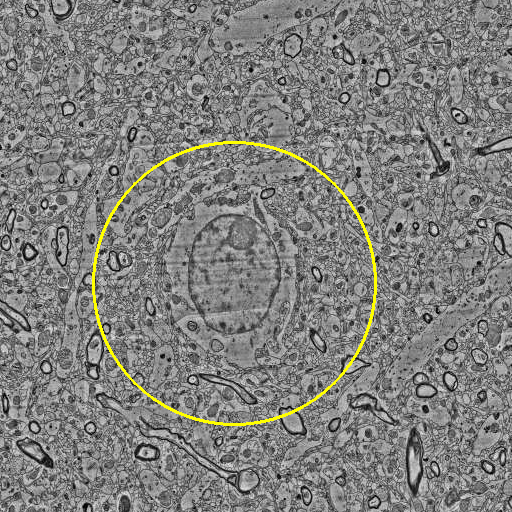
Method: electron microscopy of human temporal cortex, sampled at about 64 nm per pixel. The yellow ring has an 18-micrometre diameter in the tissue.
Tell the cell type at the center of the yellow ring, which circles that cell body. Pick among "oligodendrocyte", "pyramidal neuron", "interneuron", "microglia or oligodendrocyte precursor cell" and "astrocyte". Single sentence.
The ring is centered on the body of an astrocyte.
